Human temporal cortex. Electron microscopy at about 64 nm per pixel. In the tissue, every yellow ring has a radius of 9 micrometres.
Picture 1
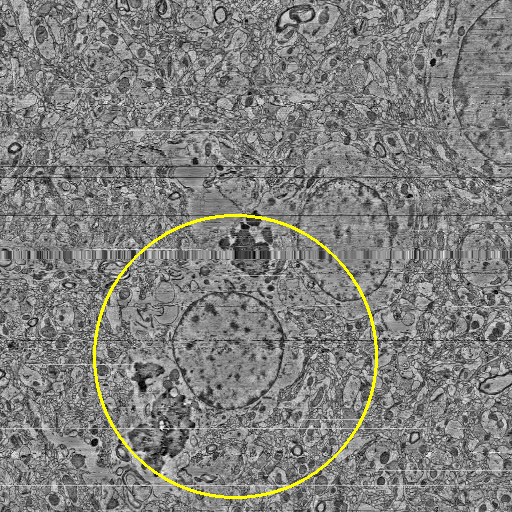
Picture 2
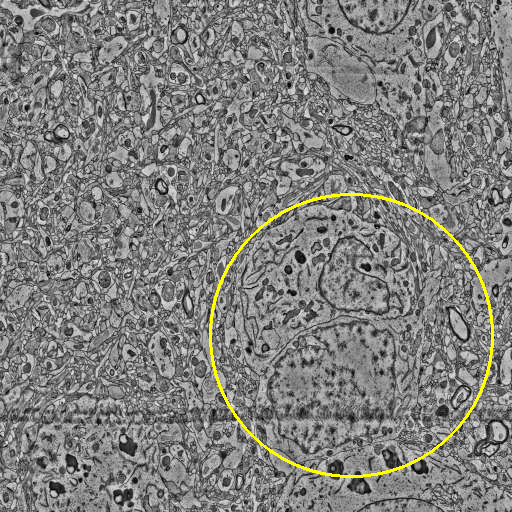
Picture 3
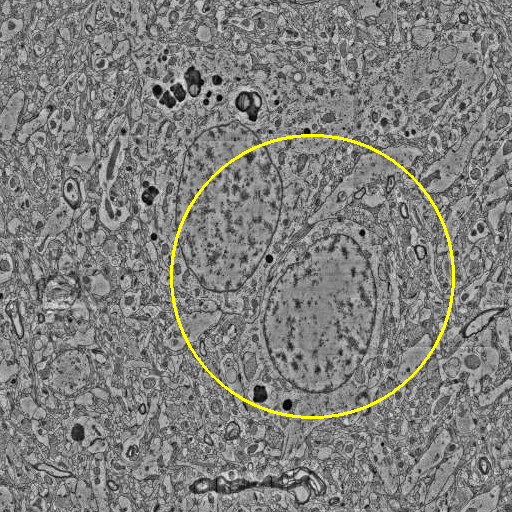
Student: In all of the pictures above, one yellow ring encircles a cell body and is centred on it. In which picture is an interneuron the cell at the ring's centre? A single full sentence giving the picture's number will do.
Picture number 2 has the wanted cell right at the centre of its ring.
